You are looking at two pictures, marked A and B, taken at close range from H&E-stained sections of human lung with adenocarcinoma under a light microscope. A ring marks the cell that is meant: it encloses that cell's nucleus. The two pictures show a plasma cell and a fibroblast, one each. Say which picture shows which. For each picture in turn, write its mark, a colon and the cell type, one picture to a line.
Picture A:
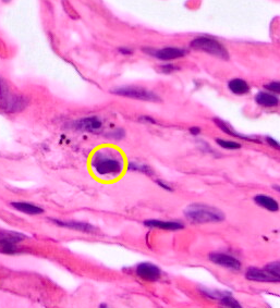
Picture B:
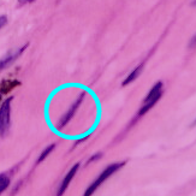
A: plasma cell
B: fibroblast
